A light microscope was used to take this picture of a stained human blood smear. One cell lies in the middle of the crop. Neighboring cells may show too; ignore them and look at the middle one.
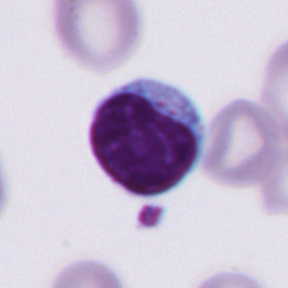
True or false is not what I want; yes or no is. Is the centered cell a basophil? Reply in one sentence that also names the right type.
No, the cell in the middle is a typical lymphocyte; it is not a basophil.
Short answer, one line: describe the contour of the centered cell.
Its surface contour is regular and smooth, without any protrusions.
